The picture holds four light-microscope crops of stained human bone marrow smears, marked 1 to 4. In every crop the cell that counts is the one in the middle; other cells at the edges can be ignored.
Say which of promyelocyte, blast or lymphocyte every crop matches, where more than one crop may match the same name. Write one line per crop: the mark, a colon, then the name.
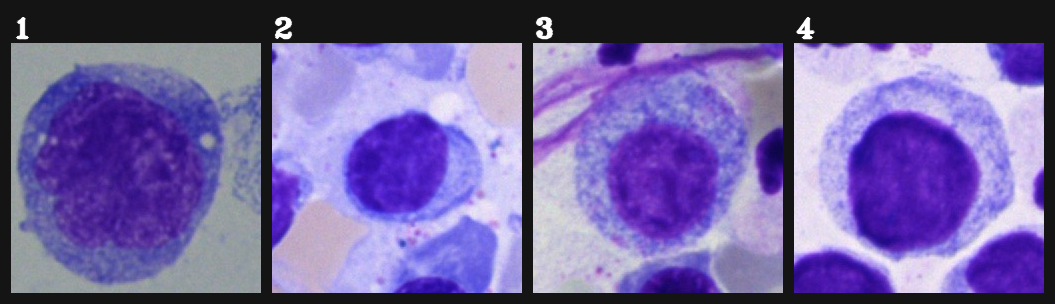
1: blast
2: lymphocyte
3: promyelocyte
4: promyelocyte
